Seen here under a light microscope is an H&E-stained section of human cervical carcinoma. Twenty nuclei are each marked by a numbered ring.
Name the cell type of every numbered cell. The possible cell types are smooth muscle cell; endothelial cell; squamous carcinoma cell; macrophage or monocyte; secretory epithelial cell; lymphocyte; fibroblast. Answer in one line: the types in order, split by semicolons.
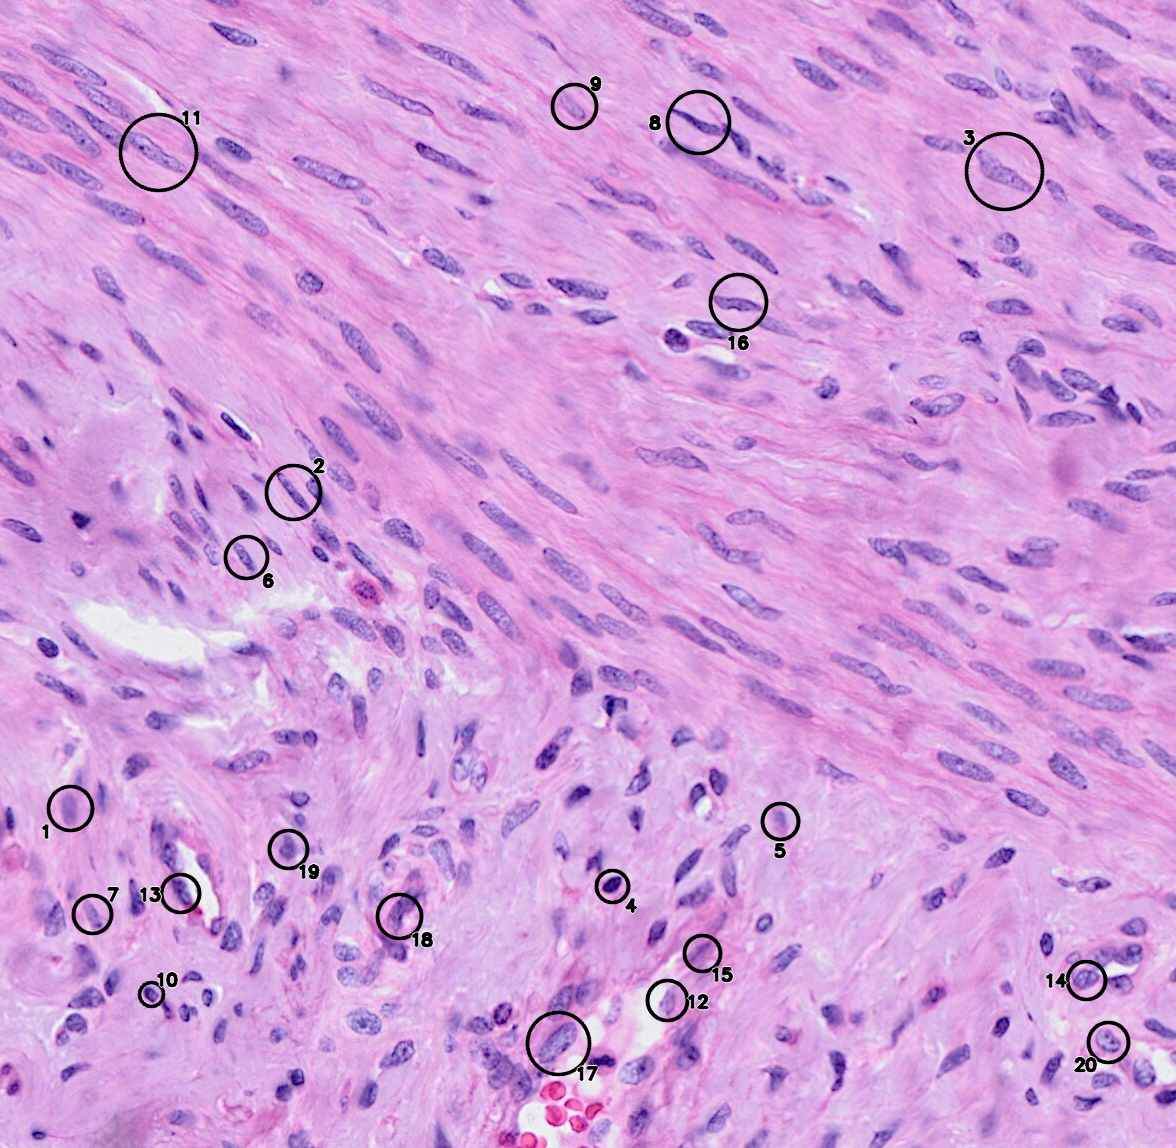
fibroblast; fibroblast; fibroblast; lymphocyte; smooth muscle cell; fibroblast; fibroblast; fibroblast; smooth muscle cell; fibroblast; smooth muscle cell; endothelial cell; endothelial cell; endothelial cell; endothelial cell; fibroblast; endothelial cell; endothelial cell; fibroblast; endothelial cell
